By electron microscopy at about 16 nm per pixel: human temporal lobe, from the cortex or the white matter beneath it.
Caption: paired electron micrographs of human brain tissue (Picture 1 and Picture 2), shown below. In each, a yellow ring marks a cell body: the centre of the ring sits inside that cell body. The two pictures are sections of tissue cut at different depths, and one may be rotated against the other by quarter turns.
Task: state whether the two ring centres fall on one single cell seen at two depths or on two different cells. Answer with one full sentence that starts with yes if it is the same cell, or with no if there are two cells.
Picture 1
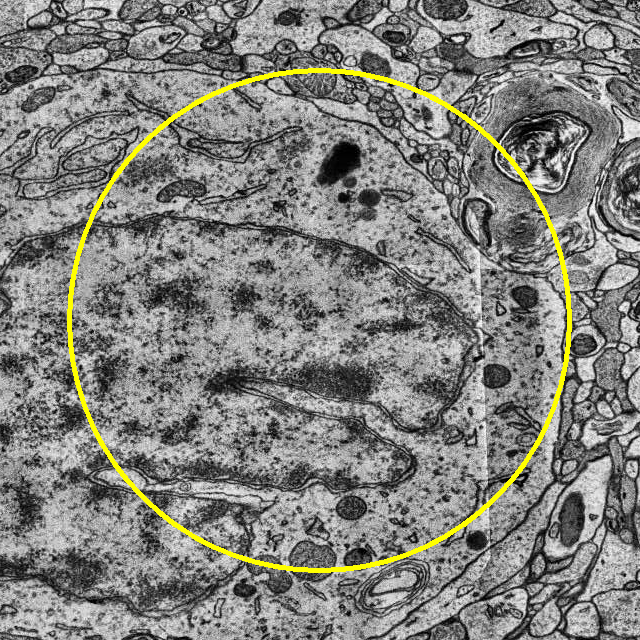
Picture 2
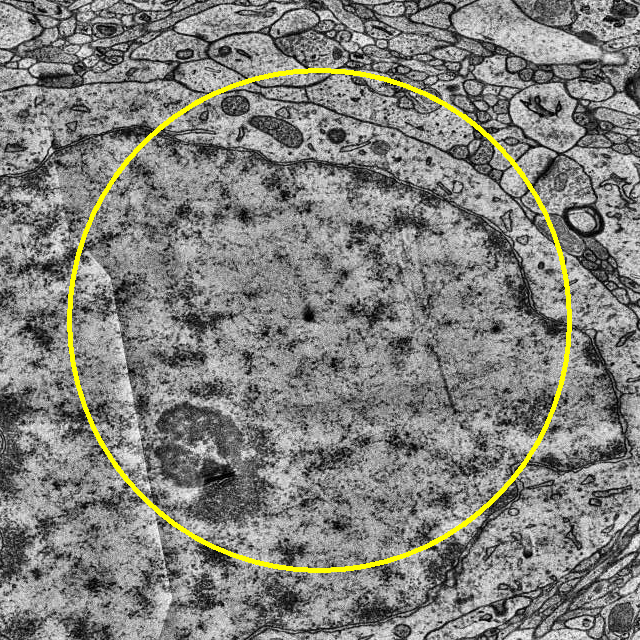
Yes, one and the same cell lies under both rings.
